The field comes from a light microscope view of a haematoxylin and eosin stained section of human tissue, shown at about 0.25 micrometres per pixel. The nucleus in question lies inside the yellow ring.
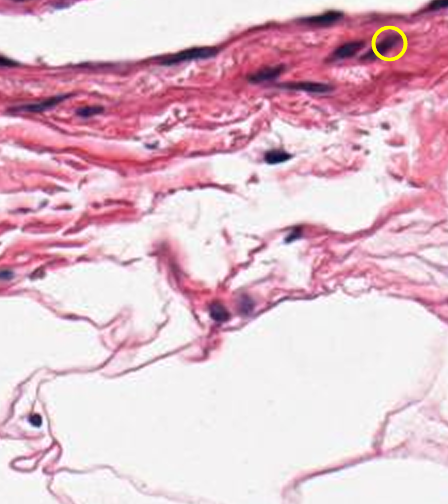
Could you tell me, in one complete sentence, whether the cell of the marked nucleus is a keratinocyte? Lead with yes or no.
No, the nucleus that is marked is not part of a keratinocyte.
